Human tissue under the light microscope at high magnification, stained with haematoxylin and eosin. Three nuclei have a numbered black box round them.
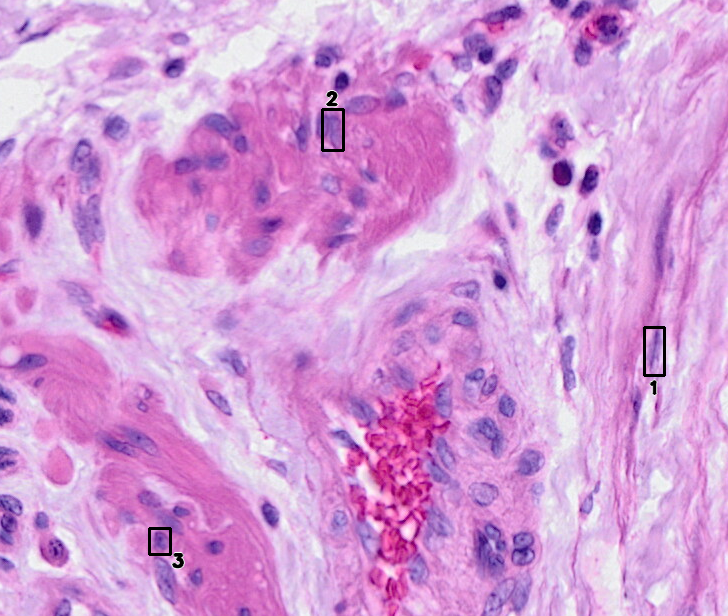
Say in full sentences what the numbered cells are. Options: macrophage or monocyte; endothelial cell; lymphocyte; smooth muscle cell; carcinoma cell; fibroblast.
Cell 1 is a fibroblast, cell 2 is a smooth muscle cell and cell 3 is a smooth muscle cell.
